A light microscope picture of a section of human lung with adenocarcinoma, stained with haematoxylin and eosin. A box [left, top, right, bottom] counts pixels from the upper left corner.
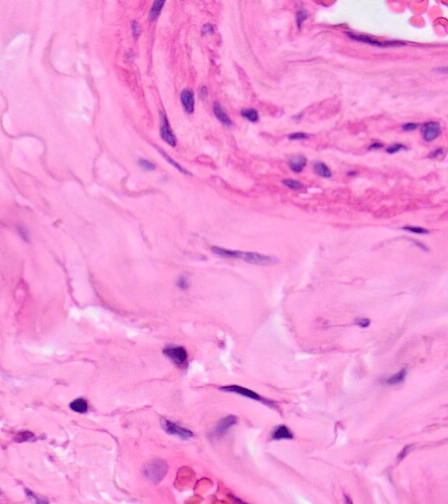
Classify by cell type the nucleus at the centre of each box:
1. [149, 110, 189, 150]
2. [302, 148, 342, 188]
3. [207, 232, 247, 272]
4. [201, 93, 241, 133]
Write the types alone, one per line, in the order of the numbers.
smooth muscle cell or pericyte
smooth muscle cell or pericyte
fibroblast
smooth muscle cell or pericyte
